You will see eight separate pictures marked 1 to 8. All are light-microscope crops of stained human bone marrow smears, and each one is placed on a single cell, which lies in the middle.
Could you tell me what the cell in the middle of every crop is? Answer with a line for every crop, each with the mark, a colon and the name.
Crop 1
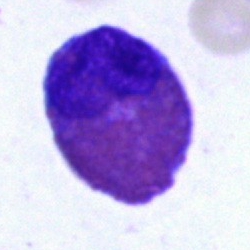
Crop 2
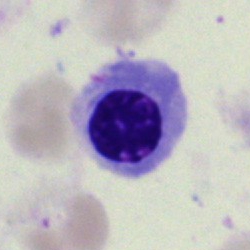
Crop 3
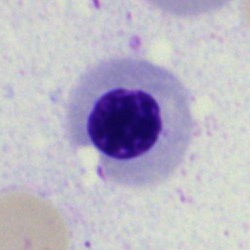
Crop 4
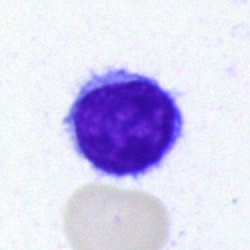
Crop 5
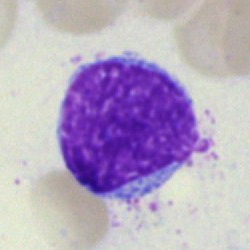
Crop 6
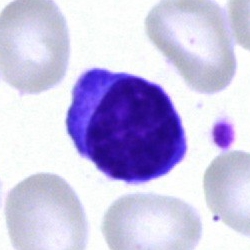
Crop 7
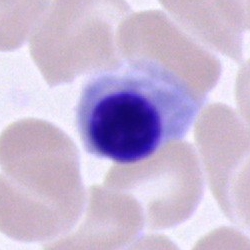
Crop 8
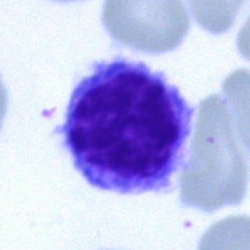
1: eosinophil
2: normoblast
3: normoblast
4: lymphocyte
5: blast
6: plasma cell
7: normoblast
8: hairy cell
